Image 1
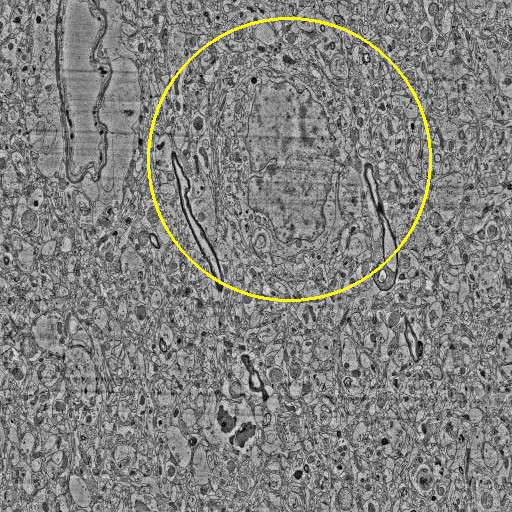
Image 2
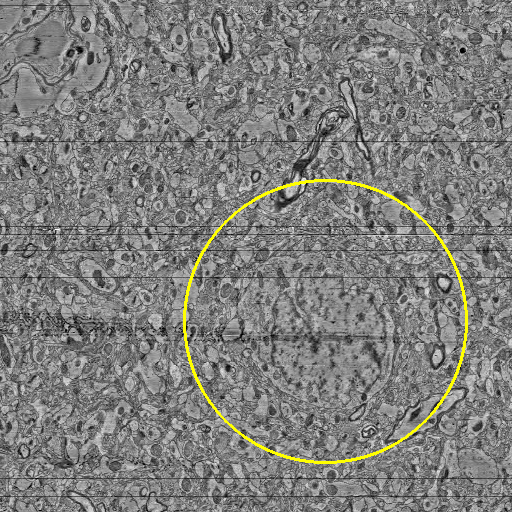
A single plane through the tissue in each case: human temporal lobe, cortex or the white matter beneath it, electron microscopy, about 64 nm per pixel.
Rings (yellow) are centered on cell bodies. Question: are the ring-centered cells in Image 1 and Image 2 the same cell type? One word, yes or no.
yes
